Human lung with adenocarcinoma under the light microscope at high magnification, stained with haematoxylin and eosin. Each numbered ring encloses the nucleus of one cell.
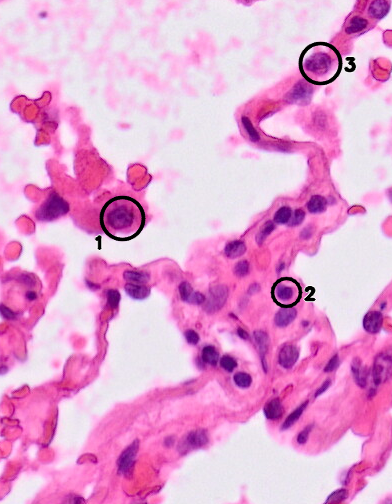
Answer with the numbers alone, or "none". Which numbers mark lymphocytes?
2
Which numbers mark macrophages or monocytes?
1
